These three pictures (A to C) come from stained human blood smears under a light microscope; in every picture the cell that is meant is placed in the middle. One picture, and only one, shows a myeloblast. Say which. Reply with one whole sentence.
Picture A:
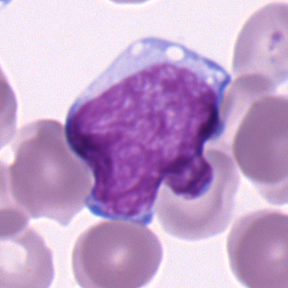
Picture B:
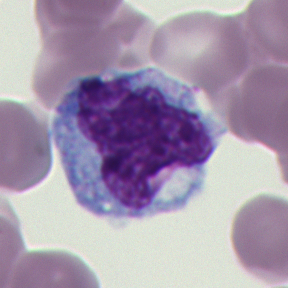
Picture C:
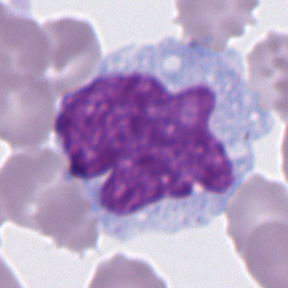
It is picture A that shows the myeloblast.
